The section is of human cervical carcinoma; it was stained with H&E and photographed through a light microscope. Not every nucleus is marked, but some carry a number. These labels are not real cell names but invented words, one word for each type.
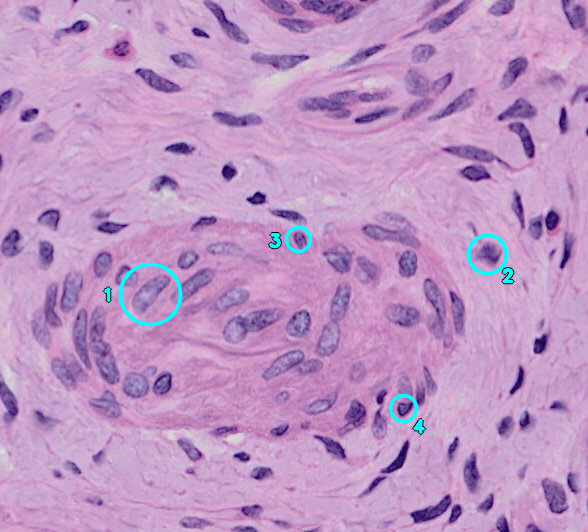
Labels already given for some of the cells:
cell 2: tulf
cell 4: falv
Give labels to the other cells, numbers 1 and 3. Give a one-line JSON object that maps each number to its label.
{"1": "falv", "3": "falv"}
